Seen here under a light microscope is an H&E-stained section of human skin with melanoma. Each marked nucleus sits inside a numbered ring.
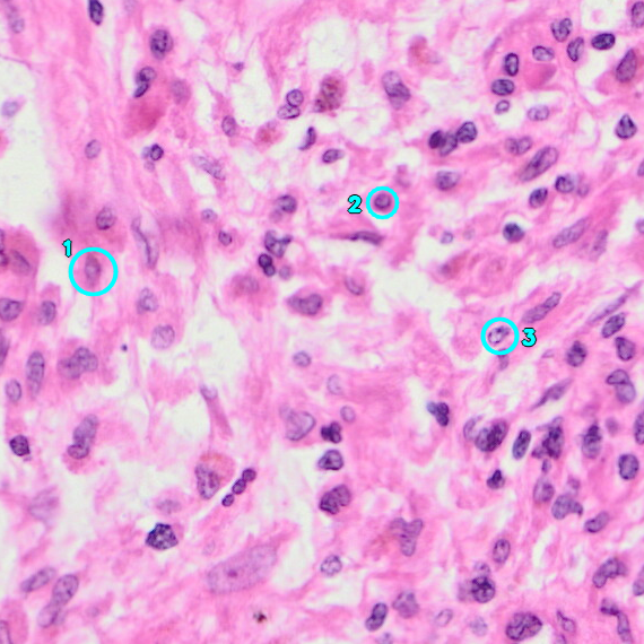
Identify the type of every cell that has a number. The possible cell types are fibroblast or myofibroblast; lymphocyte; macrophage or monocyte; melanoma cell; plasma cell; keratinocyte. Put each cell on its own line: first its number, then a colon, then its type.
1: macrophage or monocyte
2: macrophage or monocyte
3: lymphocyte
